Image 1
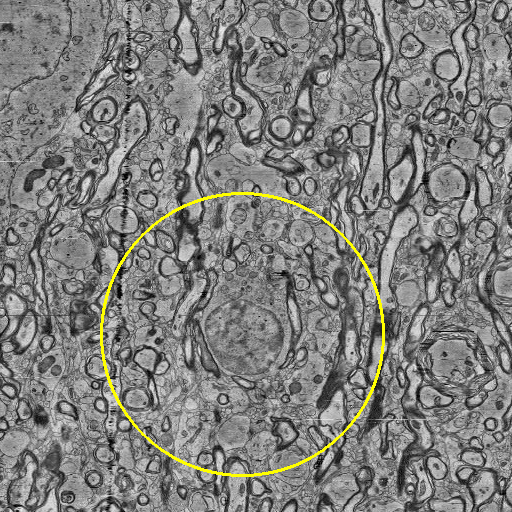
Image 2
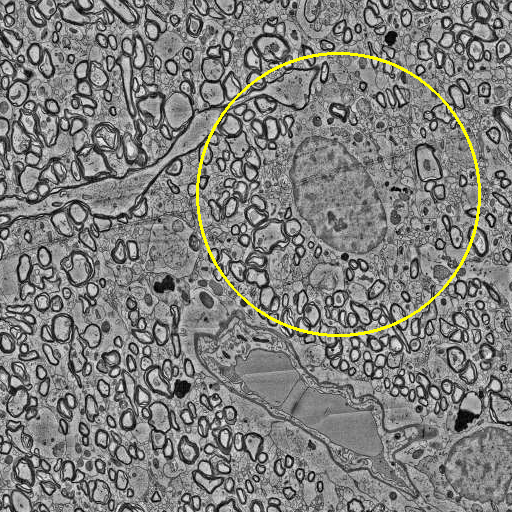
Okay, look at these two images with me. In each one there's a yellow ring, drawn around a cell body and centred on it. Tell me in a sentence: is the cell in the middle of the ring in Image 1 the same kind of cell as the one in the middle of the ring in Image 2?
Yes, they're the same kind of cell.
